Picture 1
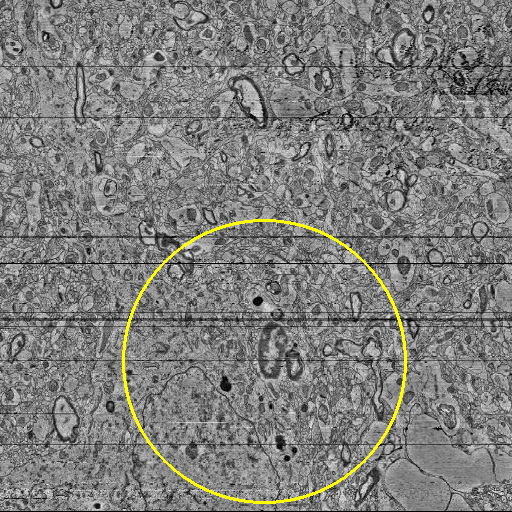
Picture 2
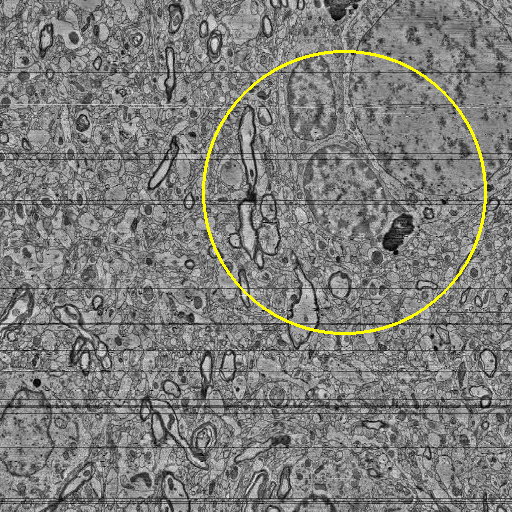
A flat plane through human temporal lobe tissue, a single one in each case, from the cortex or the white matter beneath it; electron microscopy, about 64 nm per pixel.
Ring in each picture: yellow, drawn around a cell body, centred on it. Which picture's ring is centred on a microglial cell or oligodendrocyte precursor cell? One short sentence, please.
Picture 1 is the one.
